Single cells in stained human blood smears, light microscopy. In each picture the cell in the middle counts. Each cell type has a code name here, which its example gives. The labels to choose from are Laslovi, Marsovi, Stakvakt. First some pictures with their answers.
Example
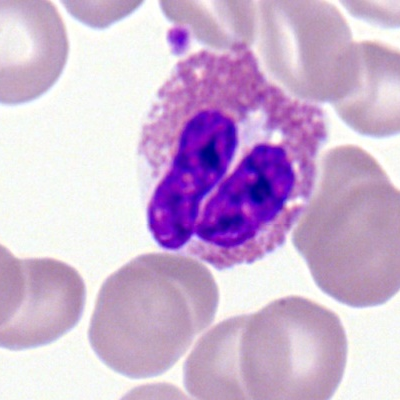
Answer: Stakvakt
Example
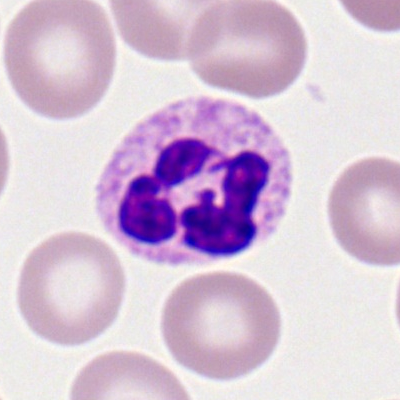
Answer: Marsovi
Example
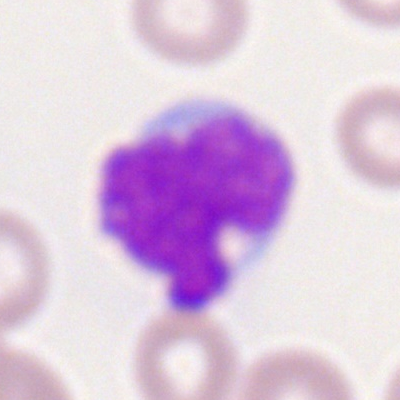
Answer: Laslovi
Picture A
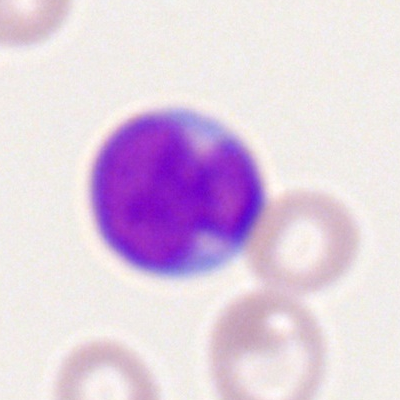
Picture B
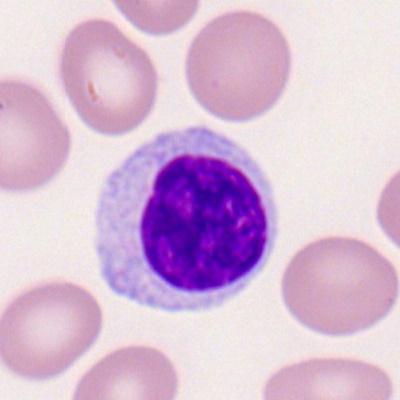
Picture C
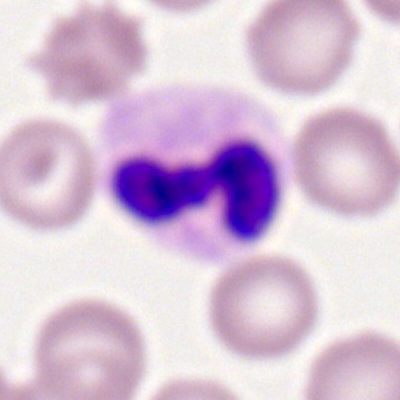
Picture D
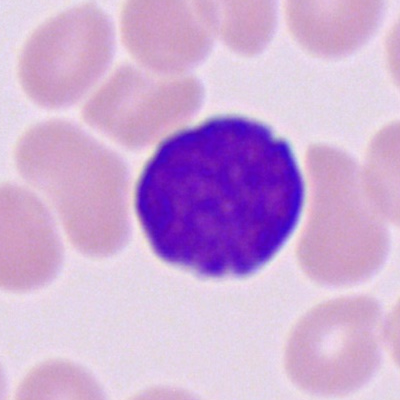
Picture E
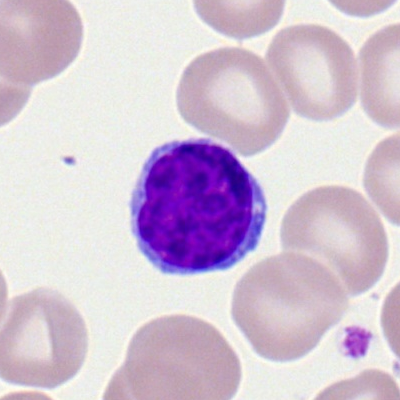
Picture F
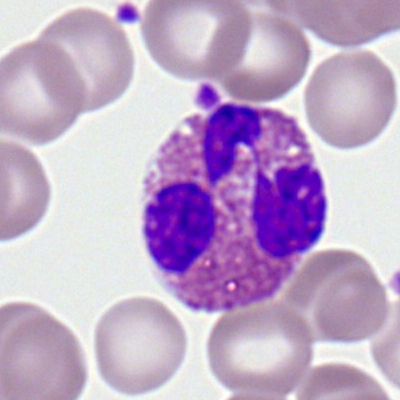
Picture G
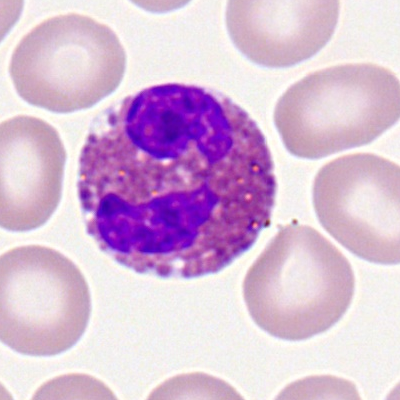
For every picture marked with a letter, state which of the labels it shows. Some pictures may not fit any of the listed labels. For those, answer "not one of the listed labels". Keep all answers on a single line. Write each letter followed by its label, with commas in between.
A Laslovi, B not one of the listed labels, C Marsovi, D Laslovi, E not one of the listed labels, F Stakvakt, G Stakvakt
